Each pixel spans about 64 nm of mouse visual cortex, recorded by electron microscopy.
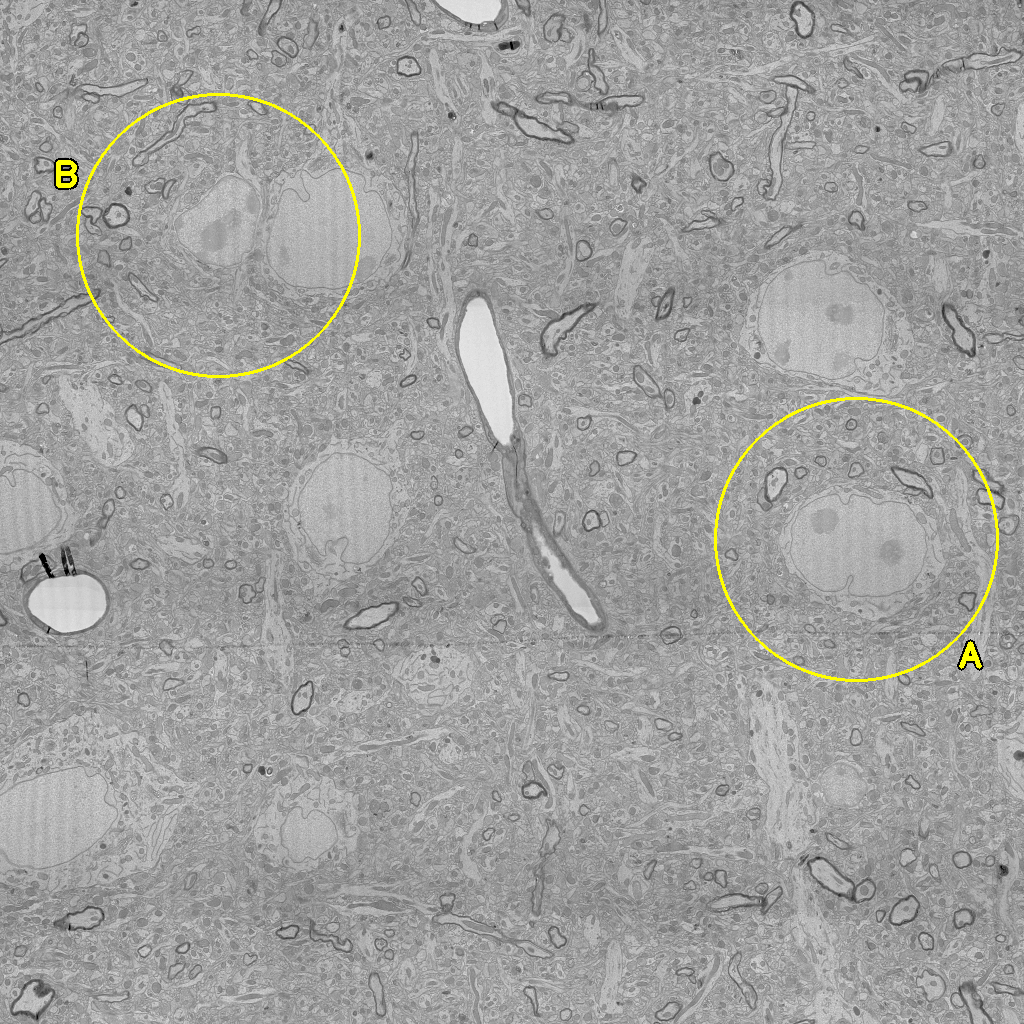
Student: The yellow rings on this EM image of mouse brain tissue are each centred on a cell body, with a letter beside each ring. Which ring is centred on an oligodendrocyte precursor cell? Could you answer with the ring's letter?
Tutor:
B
